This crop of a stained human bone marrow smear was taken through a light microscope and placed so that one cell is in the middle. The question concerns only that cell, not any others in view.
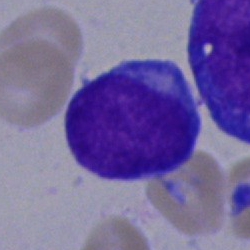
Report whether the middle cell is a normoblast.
no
